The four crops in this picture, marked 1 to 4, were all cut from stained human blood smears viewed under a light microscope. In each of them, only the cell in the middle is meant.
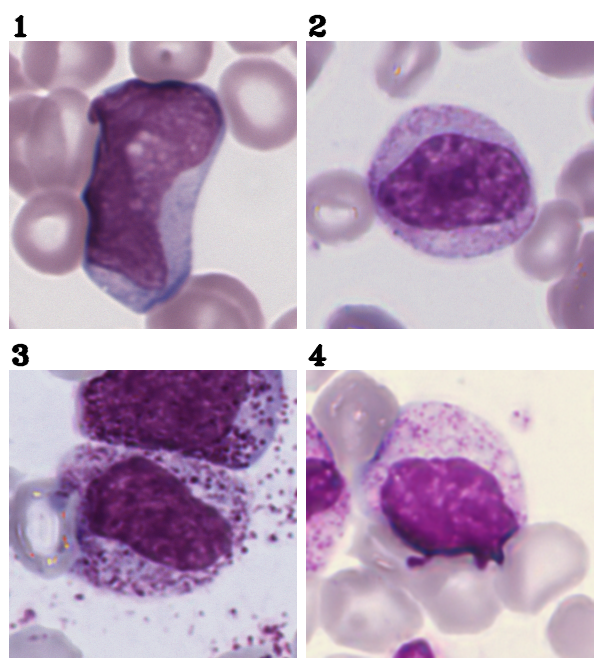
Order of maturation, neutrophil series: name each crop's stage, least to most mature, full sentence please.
From the earliest stage onward, the order is crop 1 (a myeloblast), crop 4 (a myelocyte), crop 2 (a metamyelocyte) and crop 3 (a band neutrophil).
